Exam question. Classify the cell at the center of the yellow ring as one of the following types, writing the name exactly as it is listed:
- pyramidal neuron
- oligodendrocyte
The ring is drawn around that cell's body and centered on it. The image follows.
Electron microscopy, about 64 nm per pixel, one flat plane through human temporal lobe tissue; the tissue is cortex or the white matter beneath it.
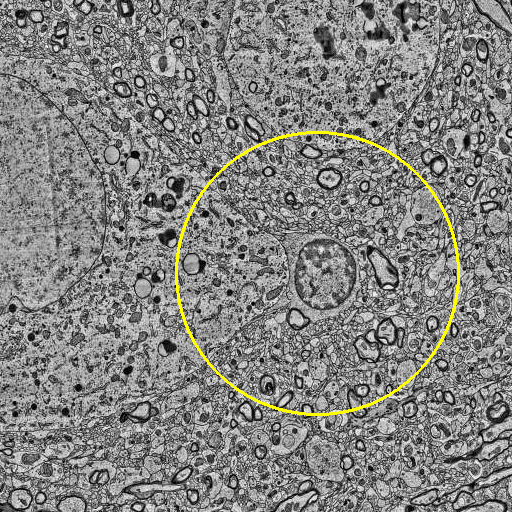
oligodendrocyte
